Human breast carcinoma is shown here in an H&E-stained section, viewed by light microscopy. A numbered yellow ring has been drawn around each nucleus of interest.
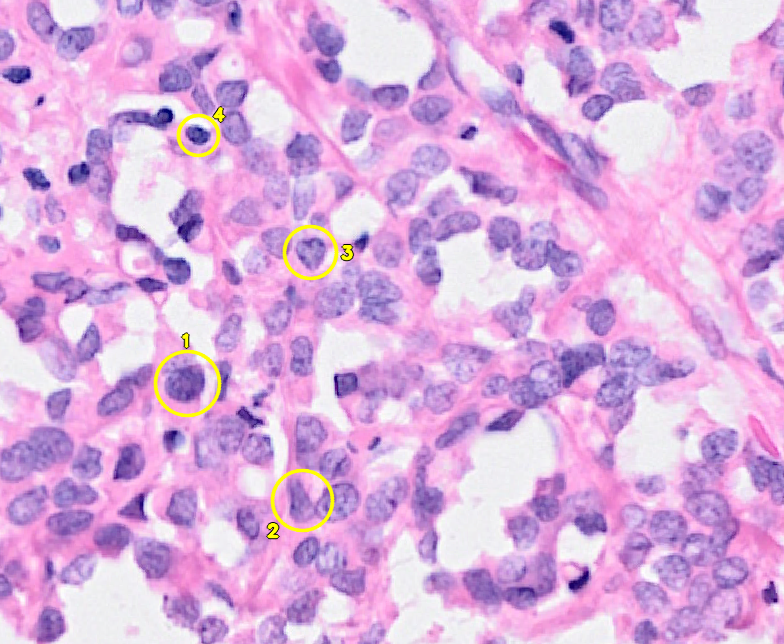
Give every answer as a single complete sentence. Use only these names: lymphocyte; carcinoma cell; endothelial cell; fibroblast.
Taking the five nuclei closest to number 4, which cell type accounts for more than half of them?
Of the five nuclei nearest to number 4, most belong to carcinoma cells.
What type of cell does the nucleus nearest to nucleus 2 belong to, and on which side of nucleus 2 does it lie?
The closest nucleus belongs to a carcinoma cell and sits to the right of nucleus 2.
